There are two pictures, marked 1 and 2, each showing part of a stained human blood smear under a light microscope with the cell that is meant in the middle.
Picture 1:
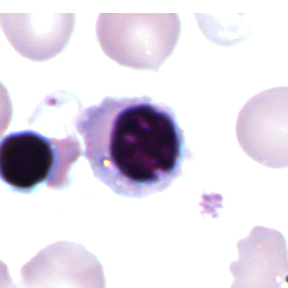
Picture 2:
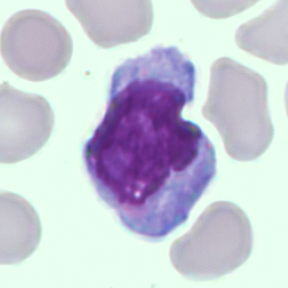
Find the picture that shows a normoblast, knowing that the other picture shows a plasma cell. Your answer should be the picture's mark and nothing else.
1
